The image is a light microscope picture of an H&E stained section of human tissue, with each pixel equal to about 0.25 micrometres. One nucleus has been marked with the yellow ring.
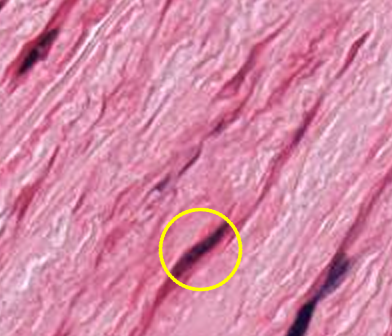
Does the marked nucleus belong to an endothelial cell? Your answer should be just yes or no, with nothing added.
no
